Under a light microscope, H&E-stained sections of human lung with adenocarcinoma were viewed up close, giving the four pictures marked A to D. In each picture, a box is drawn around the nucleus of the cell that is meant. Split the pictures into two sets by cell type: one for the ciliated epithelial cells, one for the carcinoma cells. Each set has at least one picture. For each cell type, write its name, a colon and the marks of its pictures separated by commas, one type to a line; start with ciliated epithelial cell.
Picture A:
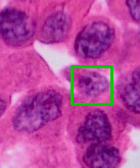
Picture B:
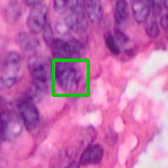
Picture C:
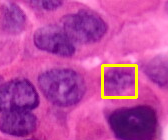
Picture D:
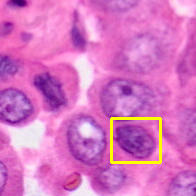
ciliated epithelial cell: B
carcinoma cell: A, C, D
